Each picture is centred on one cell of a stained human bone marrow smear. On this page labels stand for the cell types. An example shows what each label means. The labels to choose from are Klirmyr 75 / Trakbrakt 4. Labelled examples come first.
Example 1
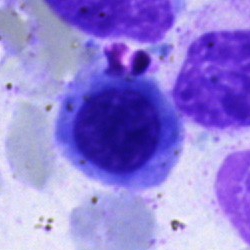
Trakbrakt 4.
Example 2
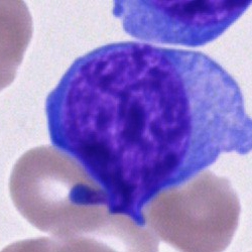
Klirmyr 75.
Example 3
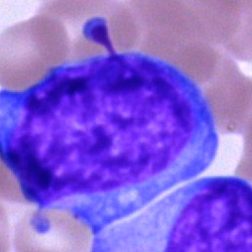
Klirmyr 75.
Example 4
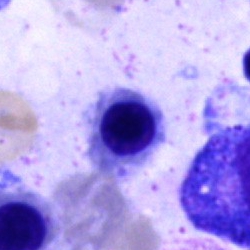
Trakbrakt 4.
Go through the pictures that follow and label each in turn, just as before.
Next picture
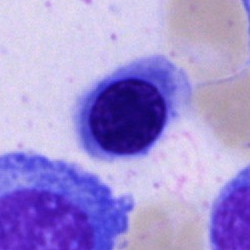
Trakbrakt 4.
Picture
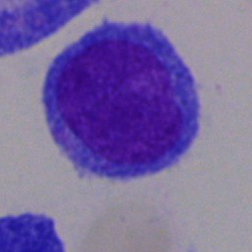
Klirmyr 75.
